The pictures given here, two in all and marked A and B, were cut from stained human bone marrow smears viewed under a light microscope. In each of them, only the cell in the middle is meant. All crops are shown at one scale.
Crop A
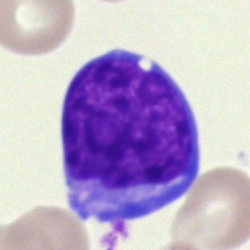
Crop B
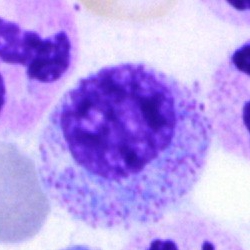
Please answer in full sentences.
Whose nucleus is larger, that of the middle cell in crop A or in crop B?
It is the nucleus in crop A, about 1.5 times as large in area as the one in crop B.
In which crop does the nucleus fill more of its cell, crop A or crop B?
In crop A the nucleus takes up the larger part of its cell.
